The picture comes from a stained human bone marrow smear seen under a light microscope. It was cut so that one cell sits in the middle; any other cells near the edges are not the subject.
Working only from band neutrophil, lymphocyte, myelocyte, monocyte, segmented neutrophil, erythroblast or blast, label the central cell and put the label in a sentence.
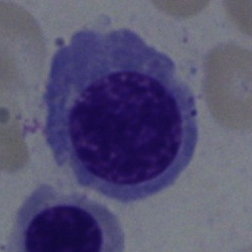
What sits at the centre of this crop is an erythroblast.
